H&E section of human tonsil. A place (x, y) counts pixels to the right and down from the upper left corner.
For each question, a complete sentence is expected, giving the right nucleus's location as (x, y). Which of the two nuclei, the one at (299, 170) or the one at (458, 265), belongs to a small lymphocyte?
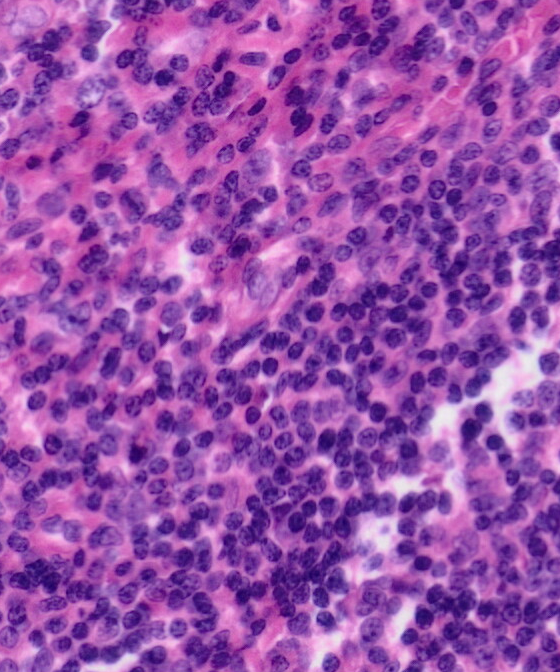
The nucleus situated at (458, 265) is the one belonging to a small lymphocyte.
